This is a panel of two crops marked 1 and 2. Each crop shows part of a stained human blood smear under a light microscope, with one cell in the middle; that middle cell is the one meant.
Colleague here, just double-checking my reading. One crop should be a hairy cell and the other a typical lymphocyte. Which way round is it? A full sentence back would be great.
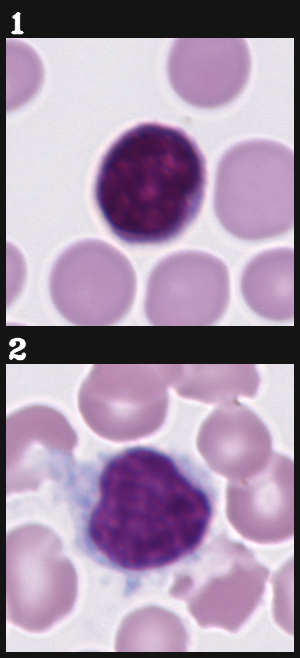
Displayed in crop 1 is a typical lymphocyte, while crop 2 displays a hairy cell.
